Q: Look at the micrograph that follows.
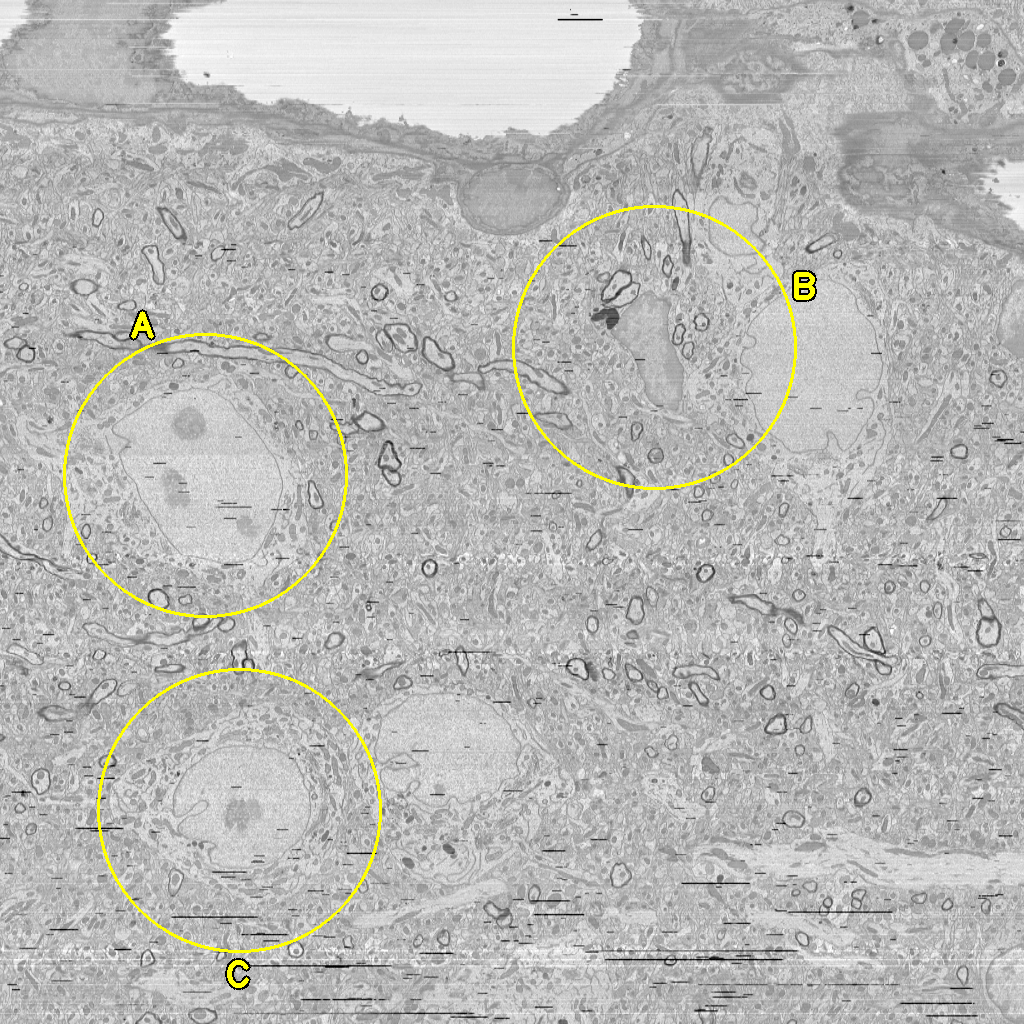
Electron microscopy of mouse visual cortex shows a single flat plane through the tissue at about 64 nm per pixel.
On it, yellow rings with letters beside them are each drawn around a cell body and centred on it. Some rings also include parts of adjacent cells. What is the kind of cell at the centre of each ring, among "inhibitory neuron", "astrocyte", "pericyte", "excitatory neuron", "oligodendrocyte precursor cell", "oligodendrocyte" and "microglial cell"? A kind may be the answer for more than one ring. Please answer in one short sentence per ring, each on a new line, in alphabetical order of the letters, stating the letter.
Ring A surrounds the cell body of an excitatory neuron.
Ring B surrounds the cell body of a microglial cell.
Ring C surrounds the cell body of an inhibitory neuron.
